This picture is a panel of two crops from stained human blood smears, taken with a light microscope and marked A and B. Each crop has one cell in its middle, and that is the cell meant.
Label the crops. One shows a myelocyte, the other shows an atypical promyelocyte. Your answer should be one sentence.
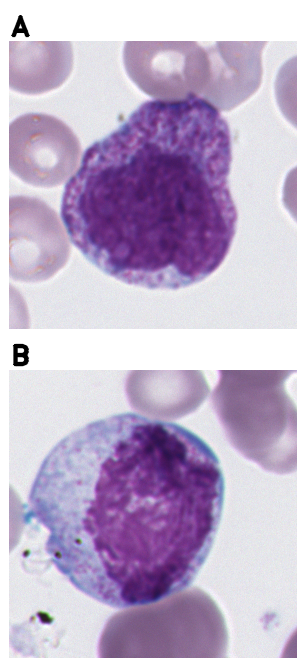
Identified in crop A is an atypical promyelocyte, with a myelocyte identified in crop B.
